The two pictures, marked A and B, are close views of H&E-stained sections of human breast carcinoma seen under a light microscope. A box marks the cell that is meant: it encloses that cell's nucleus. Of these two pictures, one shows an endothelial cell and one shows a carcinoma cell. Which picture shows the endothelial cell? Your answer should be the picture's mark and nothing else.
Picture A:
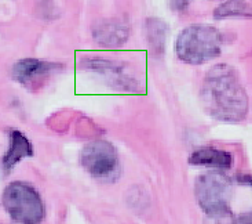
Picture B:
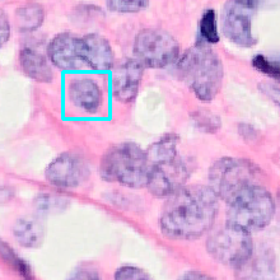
A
